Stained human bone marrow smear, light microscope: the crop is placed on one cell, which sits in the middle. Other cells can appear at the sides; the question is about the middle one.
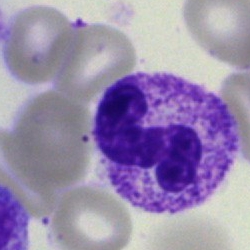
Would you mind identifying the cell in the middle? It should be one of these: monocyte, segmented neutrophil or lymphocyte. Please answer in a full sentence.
In the crop, the cell of interest at the centre is a segmented neutrophil.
